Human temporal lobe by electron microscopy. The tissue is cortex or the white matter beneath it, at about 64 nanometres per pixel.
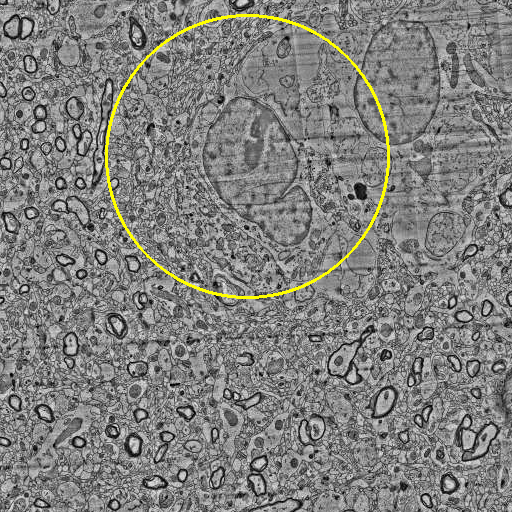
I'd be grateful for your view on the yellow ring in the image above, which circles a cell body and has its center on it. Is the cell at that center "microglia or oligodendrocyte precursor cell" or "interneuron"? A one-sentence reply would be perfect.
The cell at the center of the yellow ring is a microglial cell or oligodendrocyte precursor cell.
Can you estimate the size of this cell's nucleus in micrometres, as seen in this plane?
Approximately 10 micrometres long and 6 micrometres wide, in this plane.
